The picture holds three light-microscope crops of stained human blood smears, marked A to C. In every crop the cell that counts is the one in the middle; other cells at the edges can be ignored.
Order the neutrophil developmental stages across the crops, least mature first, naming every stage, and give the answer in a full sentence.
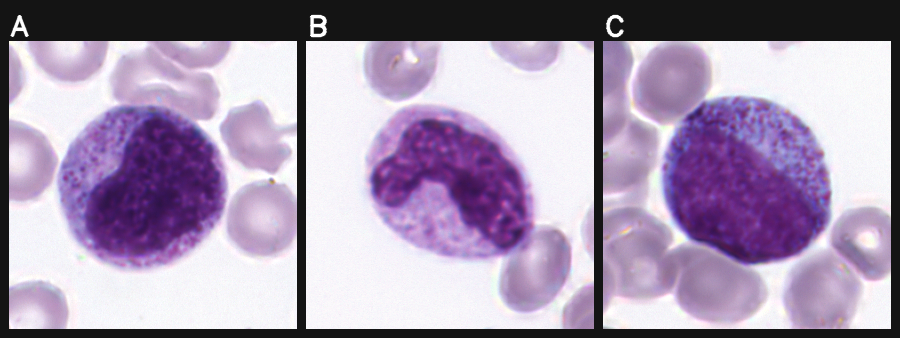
Least to most mature, the crops line up as crop C (a promyelocyte), crop A (a myelocyte) and crop B (a band neutrophil).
